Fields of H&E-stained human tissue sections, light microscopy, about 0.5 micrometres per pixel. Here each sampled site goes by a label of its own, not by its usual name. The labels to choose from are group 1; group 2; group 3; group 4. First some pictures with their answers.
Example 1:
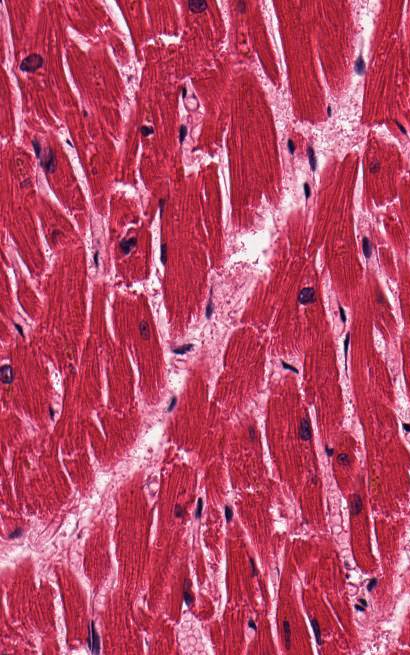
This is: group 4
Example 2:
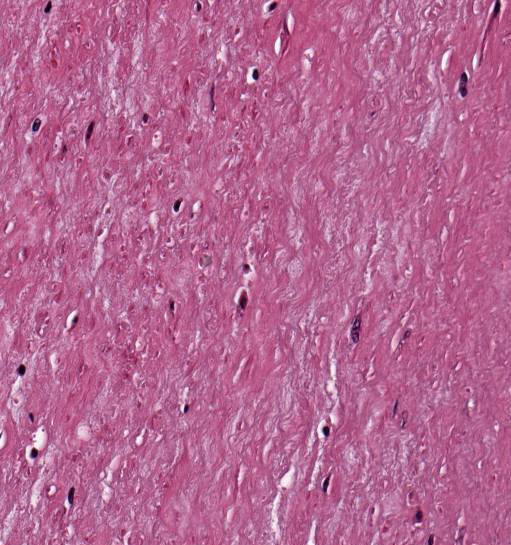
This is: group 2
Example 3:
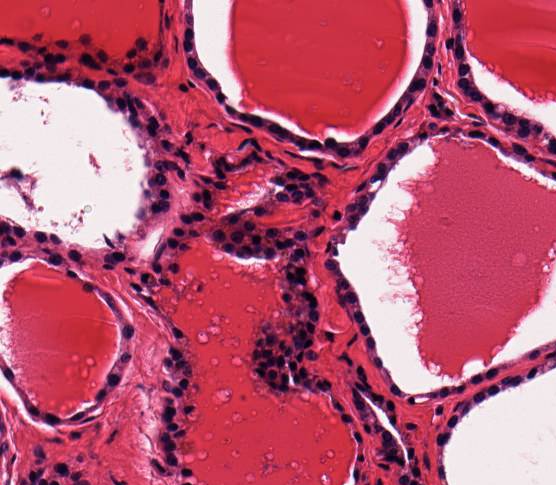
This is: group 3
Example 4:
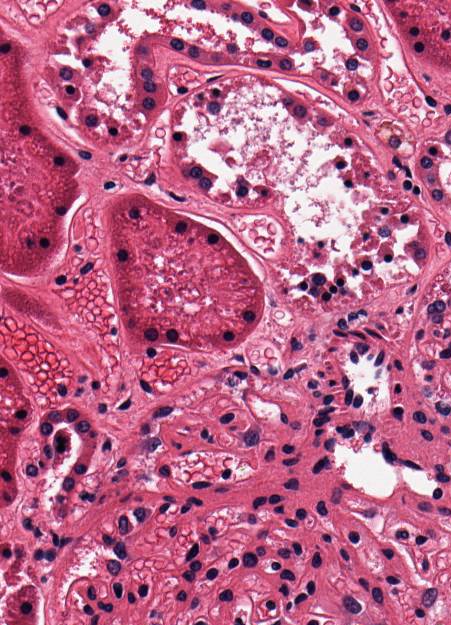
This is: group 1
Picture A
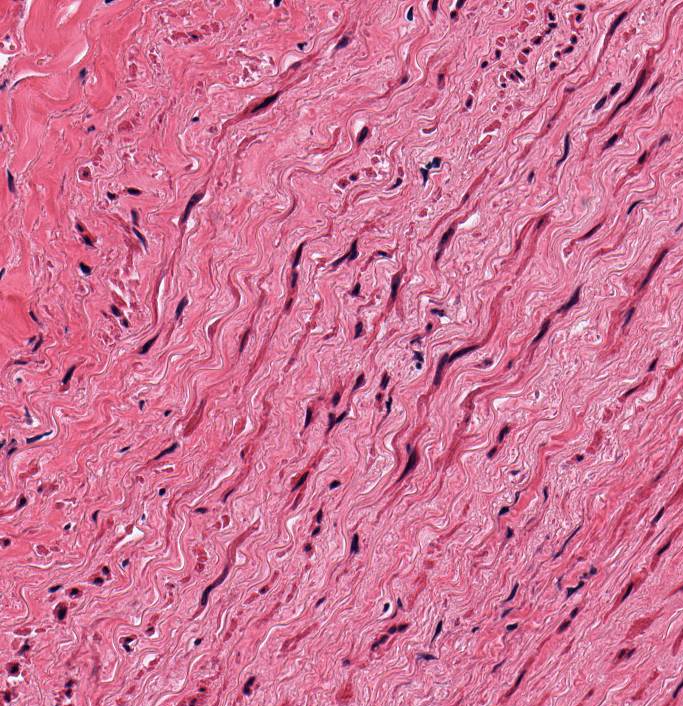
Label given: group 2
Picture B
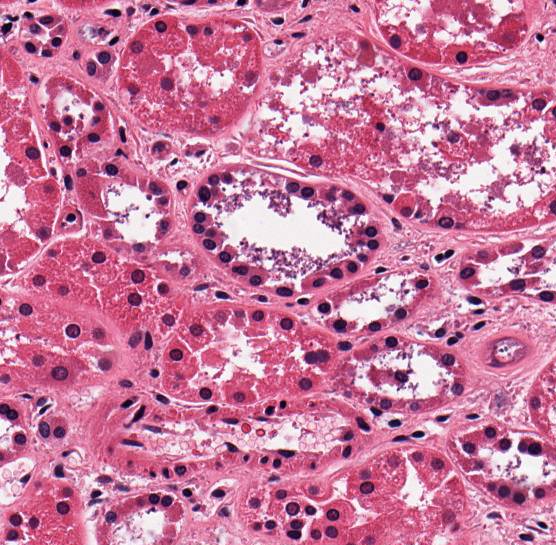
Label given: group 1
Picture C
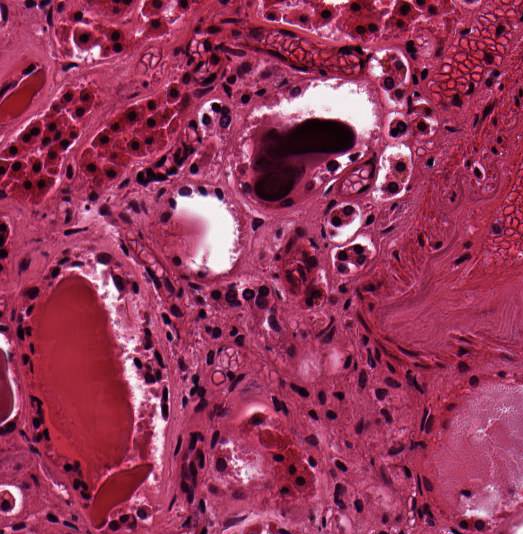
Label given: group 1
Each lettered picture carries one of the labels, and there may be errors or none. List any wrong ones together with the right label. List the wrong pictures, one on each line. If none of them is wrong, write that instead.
Every label is right.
